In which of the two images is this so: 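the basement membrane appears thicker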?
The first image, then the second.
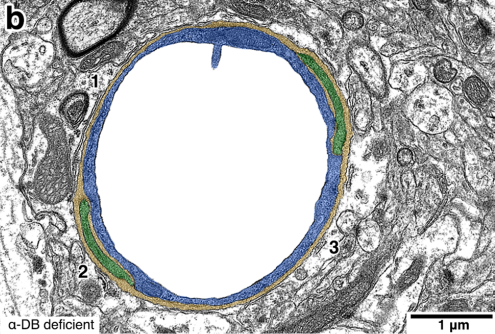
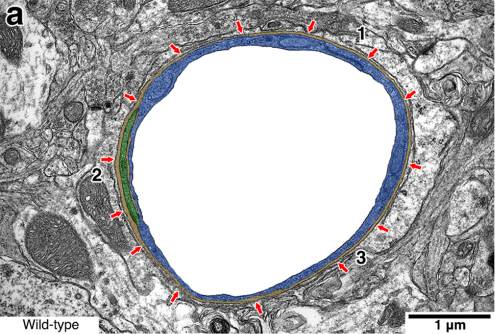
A: The first image.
